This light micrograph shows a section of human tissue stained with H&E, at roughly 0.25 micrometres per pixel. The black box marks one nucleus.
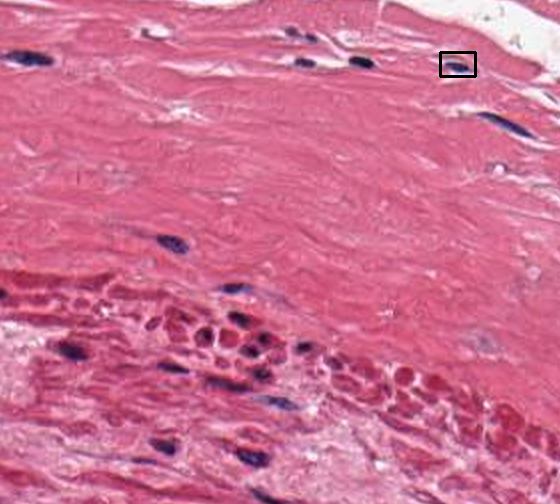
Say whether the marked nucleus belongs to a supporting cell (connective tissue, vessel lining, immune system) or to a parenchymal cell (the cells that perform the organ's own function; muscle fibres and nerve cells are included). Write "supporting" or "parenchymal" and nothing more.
supporting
